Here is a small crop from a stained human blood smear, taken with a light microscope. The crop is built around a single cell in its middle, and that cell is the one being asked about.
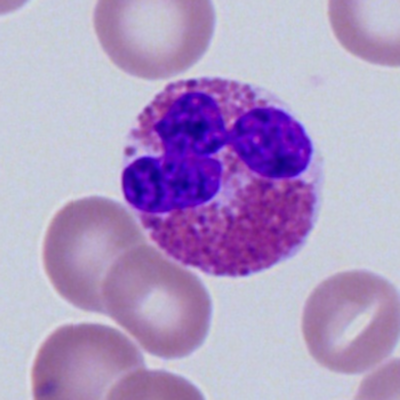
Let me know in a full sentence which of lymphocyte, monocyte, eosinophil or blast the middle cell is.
The cell of interest, located centrally, is an eosinophil.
